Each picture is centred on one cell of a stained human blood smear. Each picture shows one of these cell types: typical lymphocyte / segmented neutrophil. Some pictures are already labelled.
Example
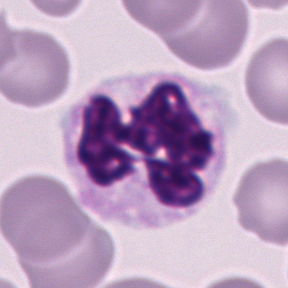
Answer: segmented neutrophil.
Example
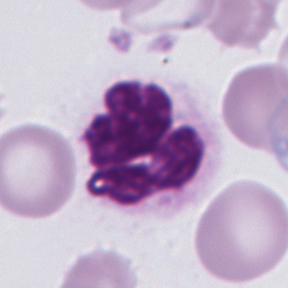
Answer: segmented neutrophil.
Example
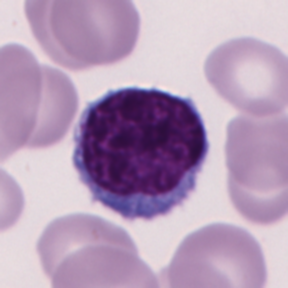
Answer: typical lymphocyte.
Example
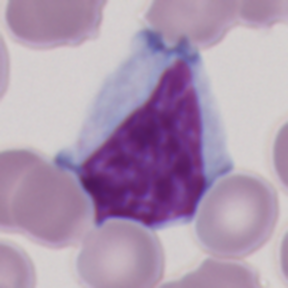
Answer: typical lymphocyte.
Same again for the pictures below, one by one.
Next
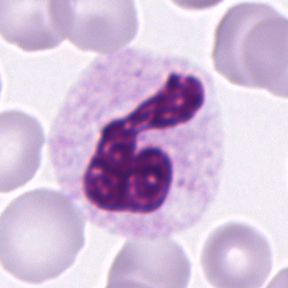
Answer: segmented neutrophil.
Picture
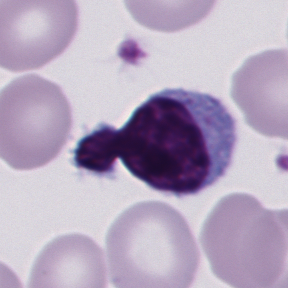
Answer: typical lymphocyte.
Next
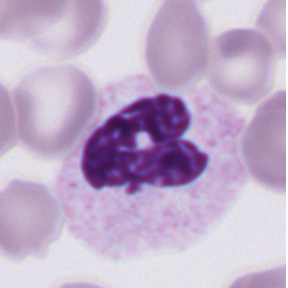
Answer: segmented neutrophil.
